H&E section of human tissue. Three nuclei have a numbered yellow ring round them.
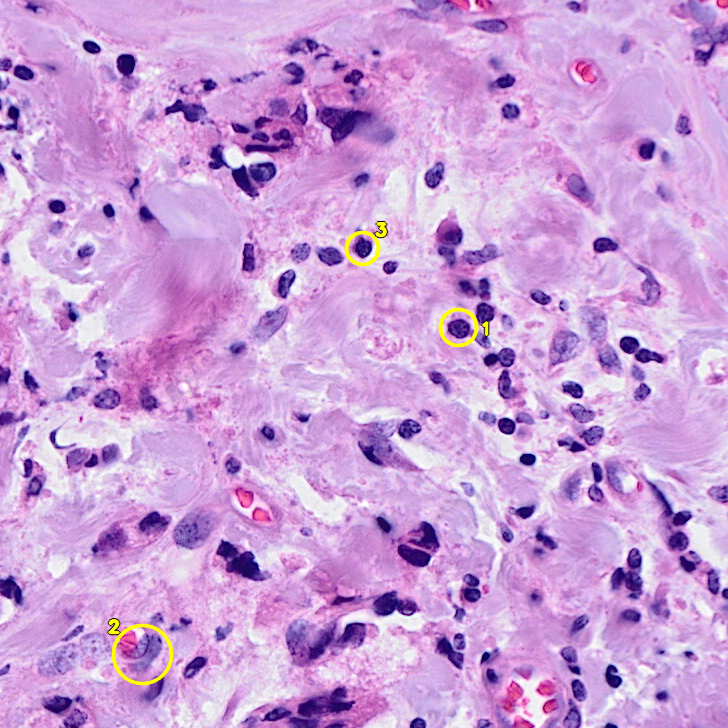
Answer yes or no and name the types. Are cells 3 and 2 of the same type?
No, cell 3 is a lymphocyte, with cell 2 being an endothelial cell.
